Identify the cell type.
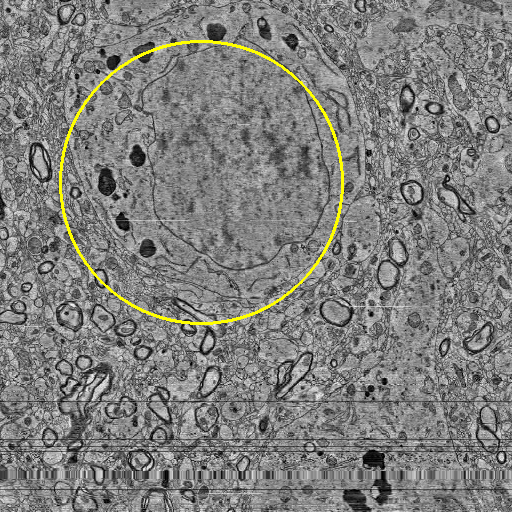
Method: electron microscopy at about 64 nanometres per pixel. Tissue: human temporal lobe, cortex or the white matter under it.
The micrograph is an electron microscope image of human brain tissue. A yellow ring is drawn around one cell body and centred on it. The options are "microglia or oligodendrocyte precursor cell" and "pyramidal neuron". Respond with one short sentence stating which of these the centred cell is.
The cell body in the ring belongs to a pyramidal neuron.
